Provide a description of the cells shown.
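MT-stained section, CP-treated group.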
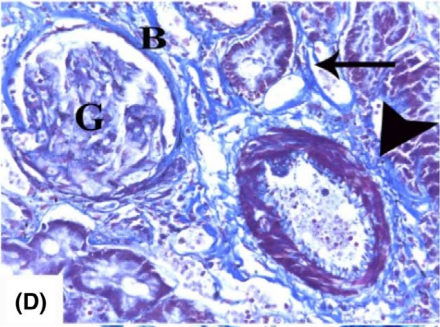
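This is kidney cortex with a glomerulus, tubules and a muscular blood vessel. The glomerulus on the left is a round capillary tuft inside a capsule whose wall is thickened with blue fibres, and blue strands also run within the tuft, which touches the capsule in places. To the right a thick-walled vessel with purple muscle layers is surrounded by blue fibres, and further blue fibres lie between the tubules, whose epithelial cells stain purple-red.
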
